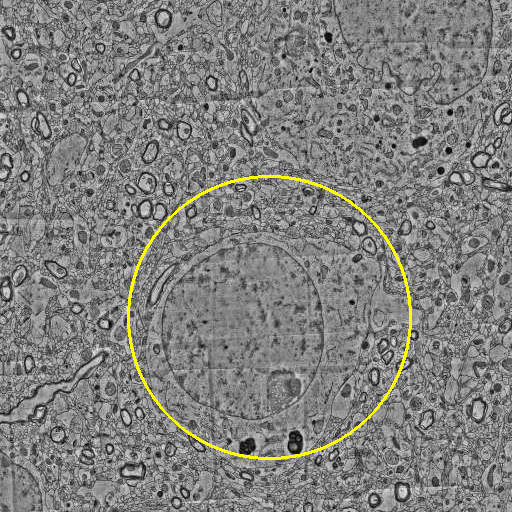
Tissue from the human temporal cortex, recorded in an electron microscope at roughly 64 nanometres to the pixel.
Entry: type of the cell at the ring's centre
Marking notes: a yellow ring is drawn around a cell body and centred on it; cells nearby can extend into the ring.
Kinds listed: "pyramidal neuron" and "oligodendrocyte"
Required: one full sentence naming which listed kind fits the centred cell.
My entry names a pyramidal neuron as the cell whose body the yellow ring centres on.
